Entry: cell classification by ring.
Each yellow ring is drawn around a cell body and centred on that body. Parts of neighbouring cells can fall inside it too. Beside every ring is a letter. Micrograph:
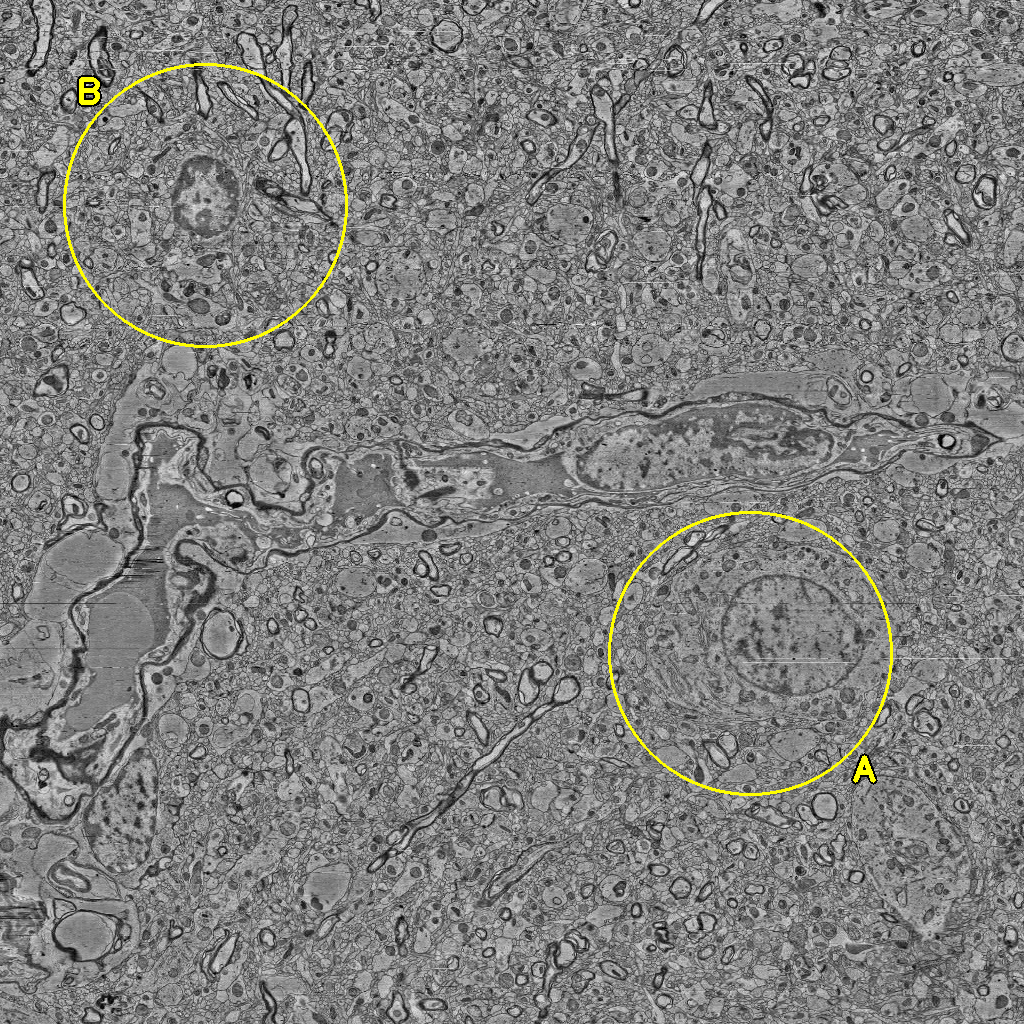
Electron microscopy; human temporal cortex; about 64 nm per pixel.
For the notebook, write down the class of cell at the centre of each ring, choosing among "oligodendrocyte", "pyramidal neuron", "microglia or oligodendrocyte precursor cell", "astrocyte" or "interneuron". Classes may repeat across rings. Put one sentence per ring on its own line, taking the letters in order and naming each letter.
Ring A marks an interneuron.
Ring B marks an oligodendrocyte.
